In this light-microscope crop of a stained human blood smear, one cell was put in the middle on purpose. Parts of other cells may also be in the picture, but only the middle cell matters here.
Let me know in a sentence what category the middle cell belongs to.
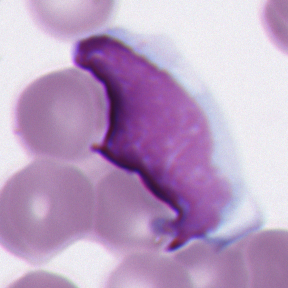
The cell positioned in the middle of the field is a typical lymphocyte.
